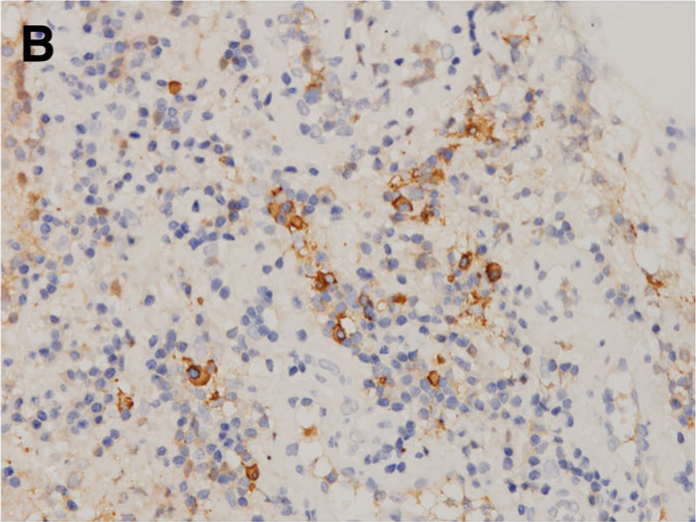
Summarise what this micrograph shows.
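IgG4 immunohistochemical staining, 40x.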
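Inflamed tissue with many cells carrying blue round to oval nuclei in a pale, loose background. A minority of scattered cells carry brown cytoplasmic and membrane stain, lying singly or in small groups. Most of the cells remain unstained.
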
